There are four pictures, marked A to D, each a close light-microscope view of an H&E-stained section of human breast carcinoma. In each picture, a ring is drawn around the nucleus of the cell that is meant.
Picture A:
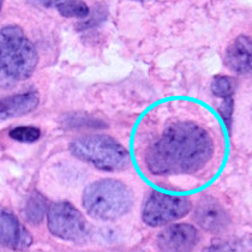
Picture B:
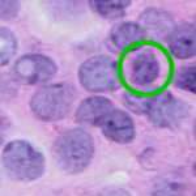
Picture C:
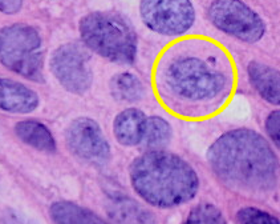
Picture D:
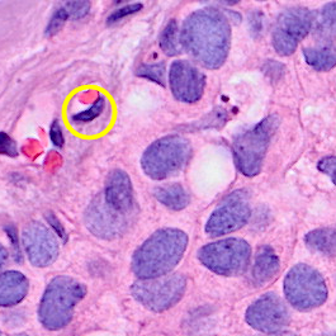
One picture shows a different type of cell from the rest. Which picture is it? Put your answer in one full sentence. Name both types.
Unlike the rest, which show carcinoma cells, picture D shows an endothelial cell.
